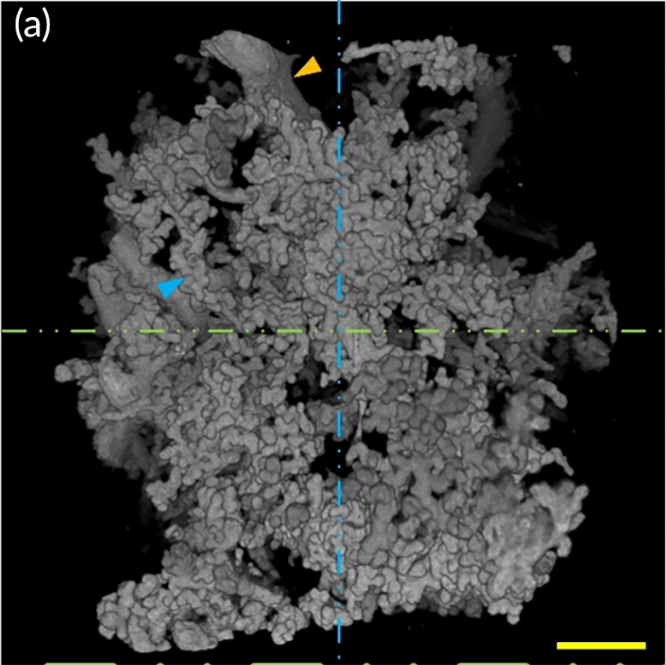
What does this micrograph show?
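Villous tree of placenta seen from above as a shaded surface rendering, with villi of varied diameter. A few broad smooth trunks carry narrower branches whose surfaces are densely covered by small rounded, grape-like terminal villi. Dark gaps separate the branches in places.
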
